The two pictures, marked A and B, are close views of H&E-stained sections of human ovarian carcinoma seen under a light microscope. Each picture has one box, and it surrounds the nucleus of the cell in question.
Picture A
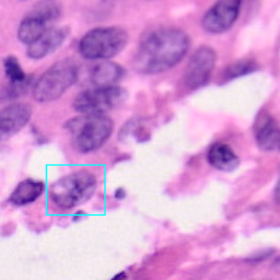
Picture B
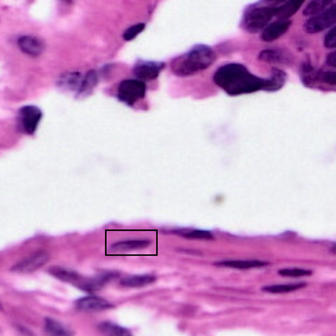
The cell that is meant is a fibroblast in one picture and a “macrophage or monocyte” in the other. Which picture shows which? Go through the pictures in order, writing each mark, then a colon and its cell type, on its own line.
A: macrophage or monocyte
B: fibroblast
